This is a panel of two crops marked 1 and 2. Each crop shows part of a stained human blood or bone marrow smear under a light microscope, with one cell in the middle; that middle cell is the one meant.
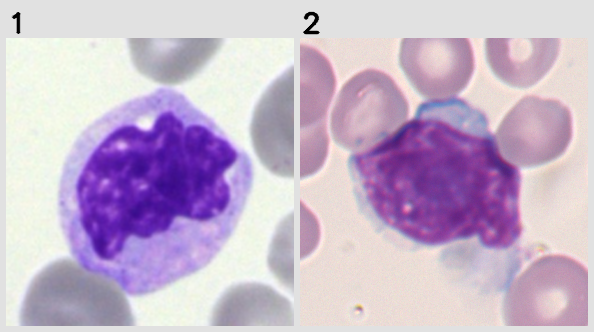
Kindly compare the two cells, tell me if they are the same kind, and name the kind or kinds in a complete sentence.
No, crop 1 captures a monocyte; meanwhile crop 2 captures a blast.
